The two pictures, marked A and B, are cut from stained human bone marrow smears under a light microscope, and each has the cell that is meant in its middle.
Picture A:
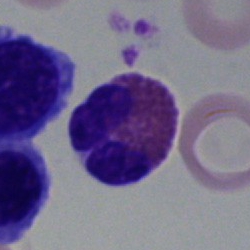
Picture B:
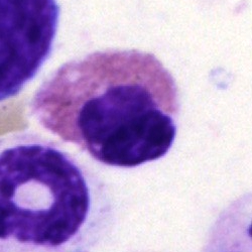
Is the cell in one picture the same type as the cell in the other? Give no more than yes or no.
yes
